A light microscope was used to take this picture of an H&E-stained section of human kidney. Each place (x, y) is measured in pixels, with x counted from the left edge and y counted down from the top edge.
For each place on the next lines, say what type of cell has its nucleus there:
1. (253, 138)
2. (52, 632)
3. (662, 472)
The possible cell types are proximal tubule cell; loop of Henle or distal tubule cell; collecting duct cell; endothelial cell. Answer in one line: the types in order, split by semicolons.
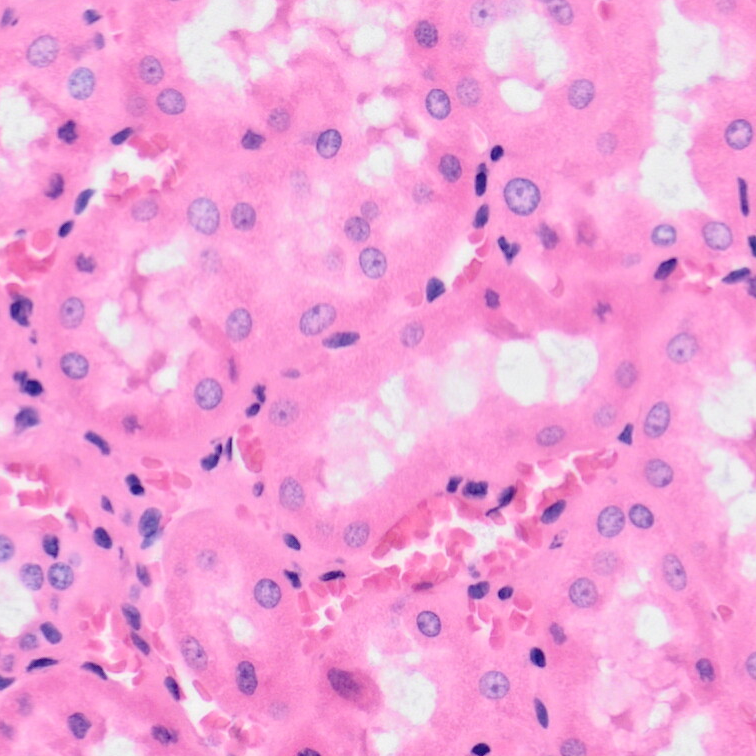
proximal tubule cell; collecting duct cell; proximal tubule cell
